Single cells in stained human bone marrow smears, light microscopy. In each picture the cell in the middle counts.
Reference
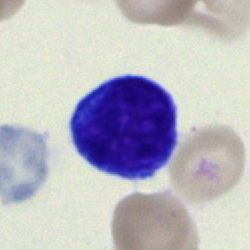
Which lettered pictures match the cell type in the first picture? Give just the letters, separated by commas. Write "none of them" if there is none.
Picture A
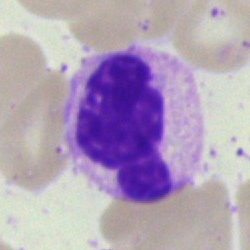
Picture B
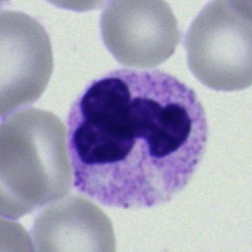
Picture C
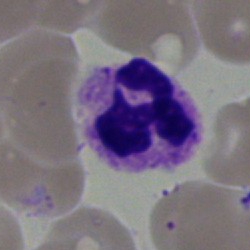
none of them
